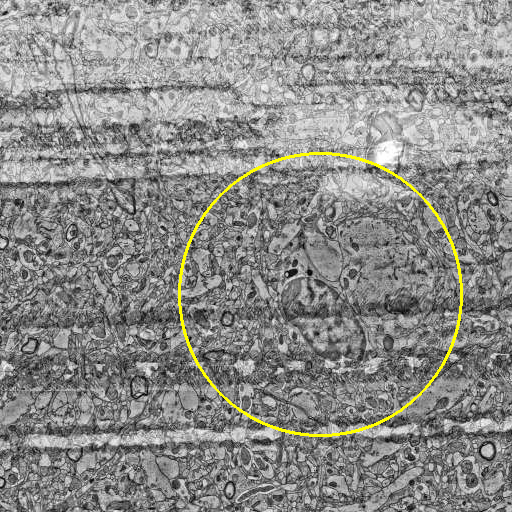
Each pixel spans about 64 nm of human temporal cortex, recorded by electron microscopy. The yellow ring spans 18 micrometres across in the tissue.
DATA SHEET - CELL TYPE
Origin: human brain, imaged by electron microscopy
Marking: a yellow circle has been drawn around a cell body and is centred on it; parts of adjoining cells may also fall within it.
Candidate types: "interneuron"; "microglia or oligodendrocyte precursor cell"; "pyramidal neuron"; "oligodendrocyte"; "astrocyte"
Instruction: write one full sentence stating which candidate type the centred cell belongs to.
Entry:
The cell body at the centre of the yellow ring in this micrograph belongs to a microglial cell or oligodendrocyte precursor cell.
